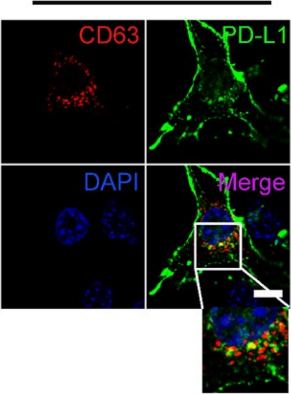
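Cultured cells are shown in four views: red, green, blue and their overlay, with an enlarged inset of the overlay. Bright green outlines the edge of a spread cell and runs out along several long processes. Red dots cluster in the cytoplasm around the blue nucleus, and a second nucleus lies nearby. In the overlay some of the dots near the nucleus are yellow, while the outline and processes stay green.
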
